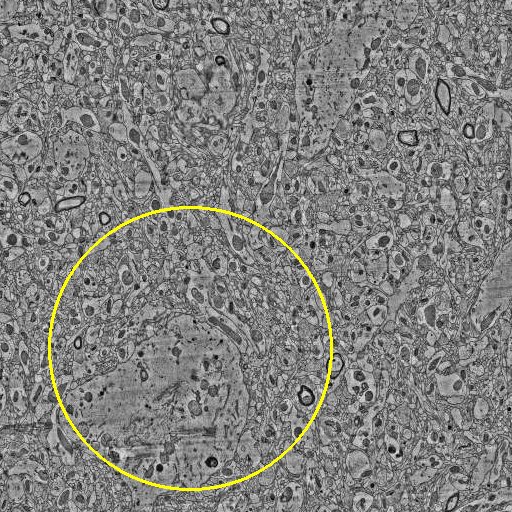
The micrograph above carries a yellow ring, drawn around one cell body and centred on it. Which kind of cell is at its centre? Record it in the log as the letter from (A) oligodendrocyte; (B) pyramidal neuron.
B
